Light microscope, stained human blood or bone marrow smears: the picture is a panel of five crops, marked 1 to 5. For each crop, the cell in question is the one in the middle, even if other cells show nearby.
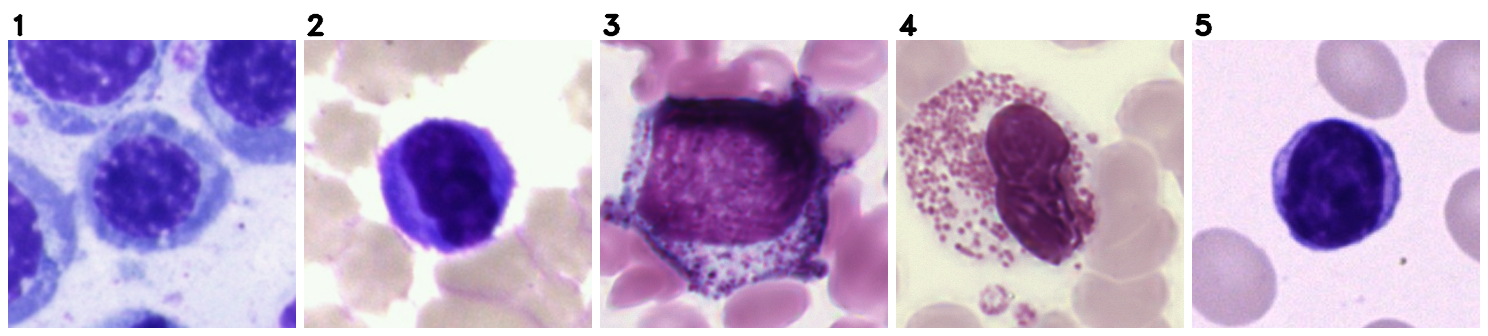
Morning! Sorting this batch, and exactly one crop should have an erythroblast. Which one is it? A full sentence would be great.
The crop with an erythroblast at its center is crop 1.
